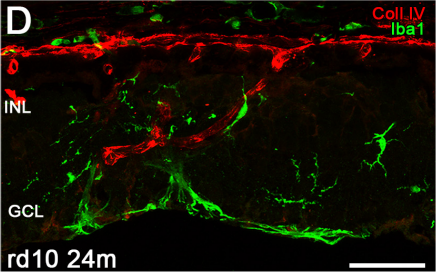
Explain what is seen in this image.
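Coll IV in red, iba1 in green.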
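Section of degenerated retina with blood vessels in red and microglia in green. The outer retina is thin, and a red vascular layer lines the top edge. From it, red vessels descend obliquely through the inner nuclear layer toward the ganglion cell layer. Green microglia are numerous: some have rounded bodies with short processes, others form dense strands and fans of green processes that converge in a column near the centre and spread along the inner surface at the ganglion cell layer. Scattered branched green cells lie in between.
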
